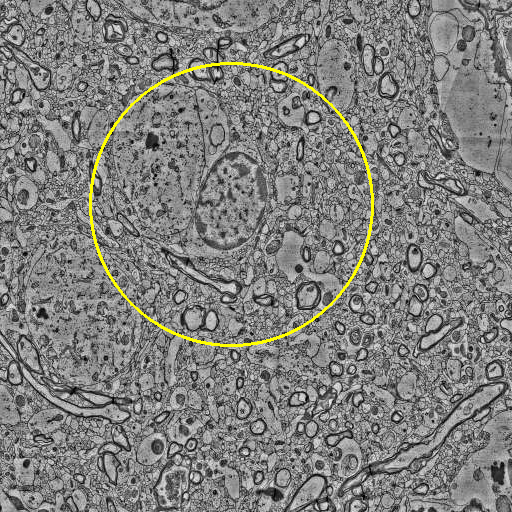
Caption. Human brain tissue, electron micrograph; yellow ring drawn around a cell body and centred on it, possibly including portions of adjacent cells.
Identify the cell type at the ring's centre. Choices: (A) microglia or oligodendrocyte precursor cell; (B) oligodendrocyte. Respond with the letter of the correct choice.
A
